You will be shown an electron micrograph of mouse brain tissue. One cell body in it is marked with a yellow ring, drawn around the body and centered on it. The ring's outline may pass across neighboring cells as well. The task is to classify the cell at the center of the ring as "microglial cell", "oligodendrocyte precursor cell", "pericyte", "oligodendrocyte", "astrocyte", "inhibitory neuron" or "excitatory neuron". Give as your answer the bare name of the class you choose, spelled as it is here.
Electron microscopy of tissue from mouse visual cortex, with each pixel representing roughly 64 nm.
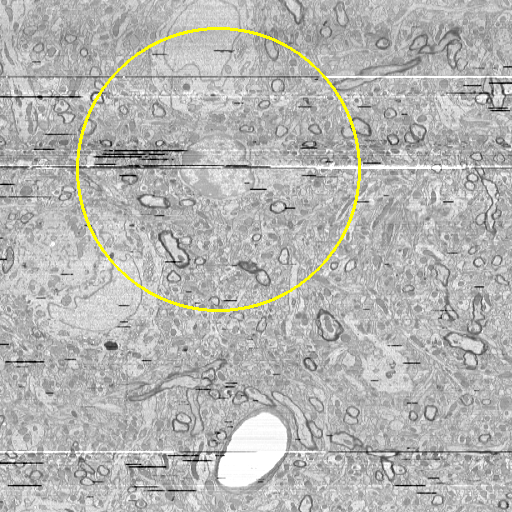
oligodendrocyte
